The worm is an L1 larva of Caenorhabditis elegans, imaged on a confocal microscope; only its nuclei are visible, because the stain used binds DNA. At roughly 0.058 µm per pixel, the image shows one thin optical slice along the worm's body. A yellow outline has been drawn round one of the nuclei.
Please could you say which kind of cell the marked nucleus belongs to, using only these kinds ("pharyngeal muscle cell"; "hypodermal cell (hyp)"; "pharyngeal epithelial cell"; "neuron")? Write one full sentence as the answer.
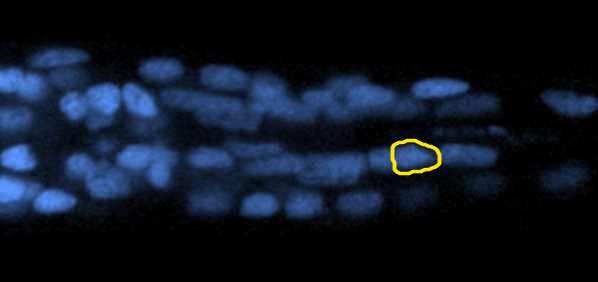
The marked nucleus belongs to a pharyngeal muscle cell.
